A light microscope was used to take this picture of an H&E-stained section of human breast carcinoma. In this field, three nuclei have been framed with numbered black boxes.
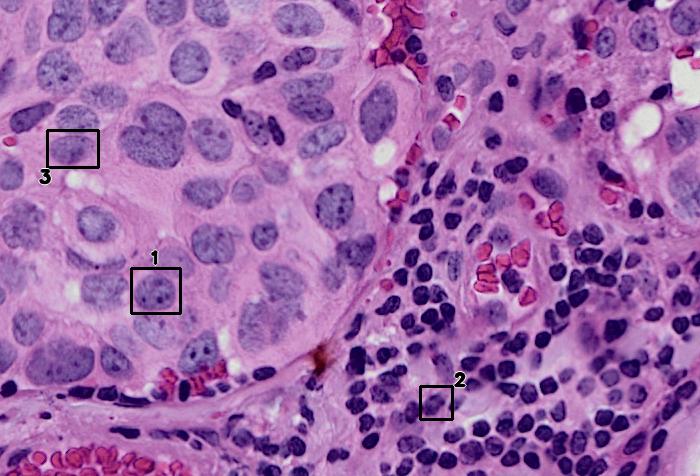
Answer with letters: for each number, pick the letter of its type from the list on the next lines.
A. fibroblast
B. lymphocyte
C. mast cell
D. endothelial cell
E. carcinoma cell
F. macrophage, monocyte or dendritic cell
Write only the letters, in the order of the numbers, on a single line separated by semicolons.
E; B; E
